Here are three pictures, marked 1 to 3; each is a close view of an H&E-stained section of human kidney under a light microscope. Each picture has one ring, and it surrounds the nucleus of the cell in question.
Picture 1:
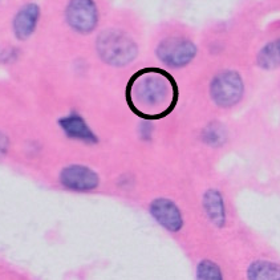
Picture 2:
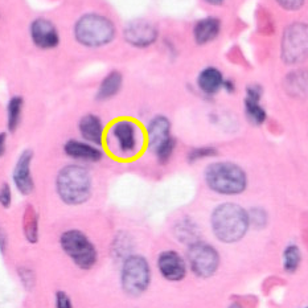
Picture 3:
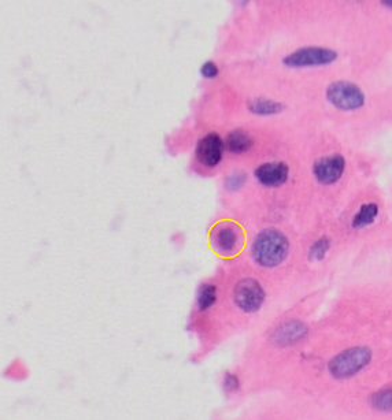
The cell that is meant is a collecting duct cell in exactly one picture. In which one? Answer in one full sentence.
Picture 2 is the one that shows the collecting duct cell.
